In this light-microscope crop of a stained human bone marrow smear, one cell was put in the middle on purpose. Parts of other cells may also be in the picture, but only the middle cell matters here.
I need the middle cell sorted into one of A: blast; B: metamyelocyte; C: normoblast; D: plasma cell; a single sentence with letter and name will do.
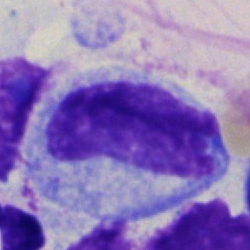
According to option B, which is correct, the cell in the middle is a metamyelocyte.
